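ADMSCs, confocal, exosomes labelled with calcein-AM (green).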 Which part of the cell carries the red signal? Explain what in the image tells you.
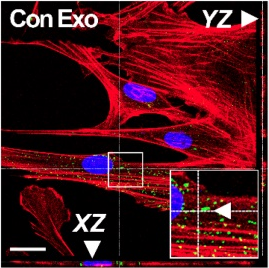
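Long thin red filaments run in parallel bundles through the spread cells. The red fibres span the cytoplasm from end to end of each cell. On this evidence: cell skeleton.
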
